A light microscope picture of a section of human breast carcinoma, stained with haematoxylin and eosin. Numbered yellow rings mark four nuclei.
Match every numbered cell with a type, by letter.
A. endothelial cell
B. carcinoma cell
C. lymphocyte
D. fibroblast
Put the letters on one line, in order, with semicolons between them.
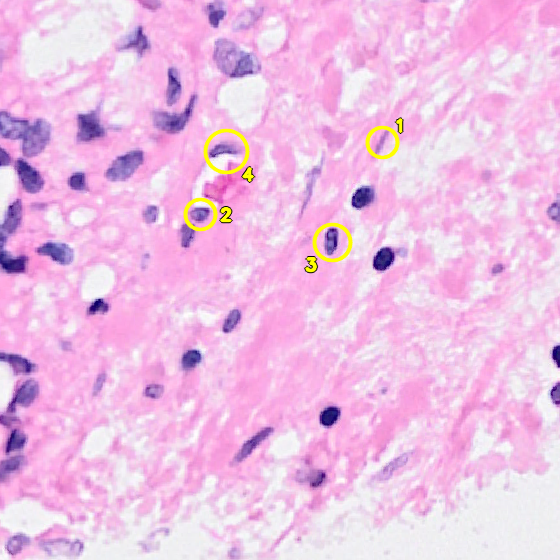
D; A; C; A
